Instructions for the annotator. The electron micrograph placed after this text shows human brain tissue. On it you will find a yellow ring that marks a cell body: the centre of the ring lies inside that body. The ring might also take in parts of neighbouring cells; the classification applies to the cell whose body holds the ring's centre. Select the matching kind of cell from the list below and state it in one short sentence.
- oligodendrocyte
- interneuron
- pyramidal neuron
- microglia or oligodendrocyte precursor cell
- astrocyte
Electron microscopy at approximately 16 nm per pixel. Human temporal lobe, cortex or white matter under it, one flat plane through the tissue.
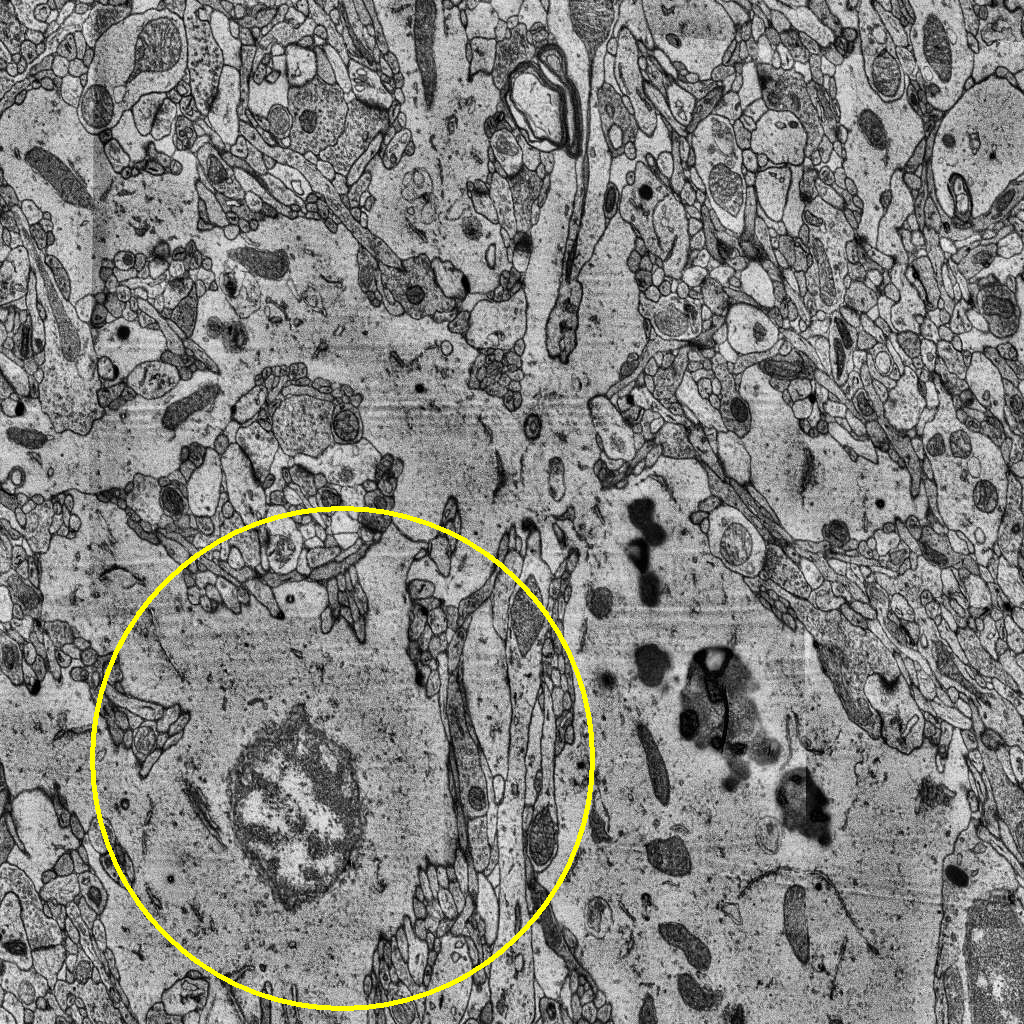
The centre of the ring lies in the cell body of an astrocyte.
